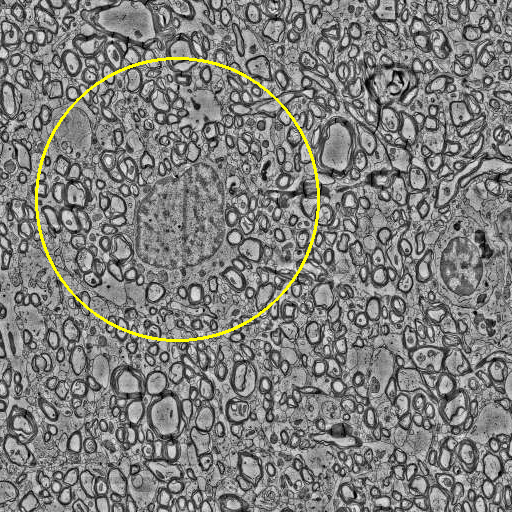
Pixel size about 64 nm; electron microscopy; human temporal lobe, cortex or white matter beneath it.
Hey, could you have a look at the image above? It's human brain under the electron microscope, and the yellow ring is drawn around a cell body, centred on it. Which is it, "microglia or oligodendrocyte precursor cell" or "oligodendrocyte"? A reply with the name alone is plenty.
oligodendrocyte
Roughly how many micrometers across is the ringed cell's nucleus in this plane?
The nucleus comes to roughly 7 by 6 micrometres in this plane.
